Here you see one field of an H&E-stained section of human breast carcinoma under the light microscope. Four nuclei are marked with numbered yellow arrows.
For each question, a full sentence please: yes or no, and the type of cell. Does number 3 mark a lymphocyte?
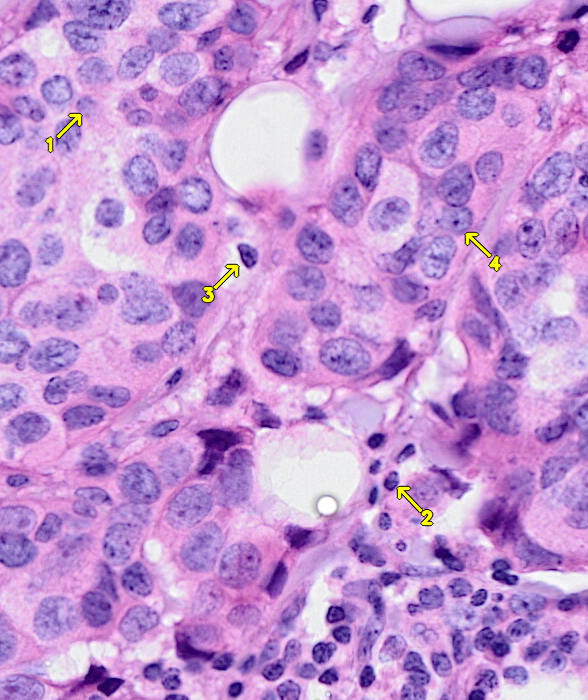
Yes, what number 3 marks is a lymphocyte.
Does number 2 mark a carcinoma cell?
No, the cell given number 2 is a lymphocyte, as opposed to a carcinoma cell.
